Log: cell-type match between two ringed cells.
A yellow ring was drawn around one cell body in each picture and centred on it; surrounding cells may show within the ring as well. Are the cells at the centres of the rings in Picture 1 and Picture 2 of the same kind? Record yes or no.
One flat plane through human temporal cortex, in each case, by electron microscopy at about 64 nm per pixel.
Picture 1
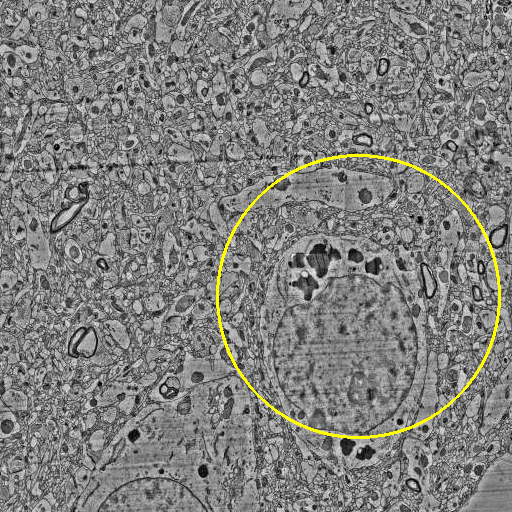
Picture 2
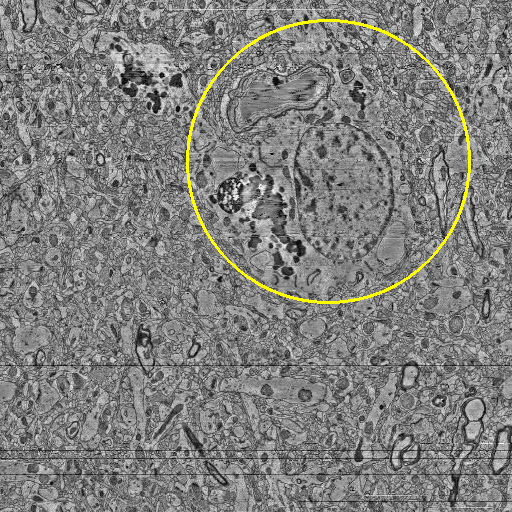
no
